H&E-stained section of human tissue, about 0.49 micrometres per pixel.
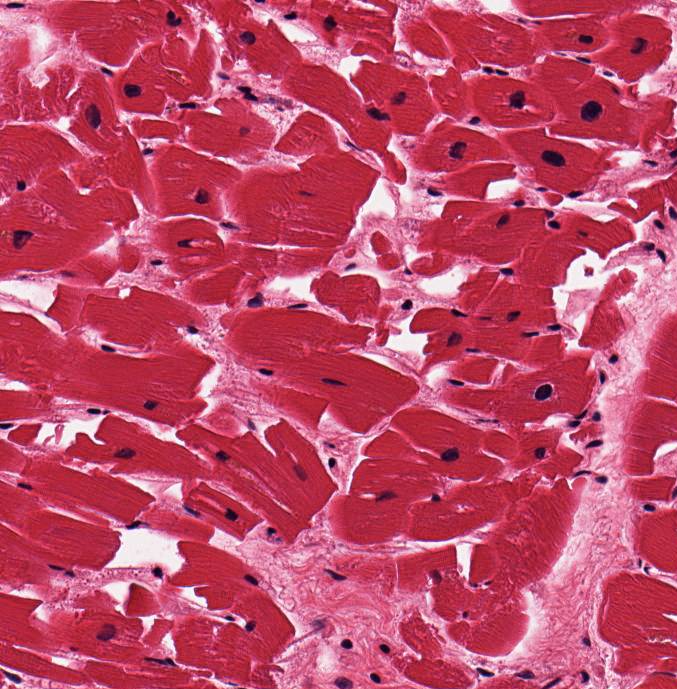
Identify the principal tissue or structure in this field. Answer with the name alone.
myocardium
